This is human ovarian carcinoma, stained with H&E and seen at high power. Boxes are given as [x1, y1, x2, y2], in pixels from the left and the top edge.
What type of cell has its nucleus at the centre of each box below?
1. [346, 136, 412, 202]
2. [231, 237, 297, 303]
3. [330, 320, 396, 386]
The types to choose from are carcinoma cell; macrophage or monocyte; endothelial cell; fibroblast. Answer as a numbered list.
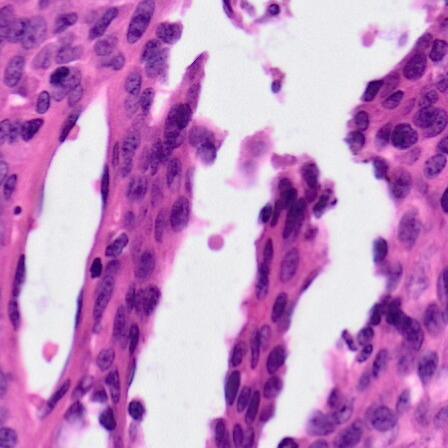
1. carcinoma cell
2. endothelial cell
3. macrophage or monocyte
